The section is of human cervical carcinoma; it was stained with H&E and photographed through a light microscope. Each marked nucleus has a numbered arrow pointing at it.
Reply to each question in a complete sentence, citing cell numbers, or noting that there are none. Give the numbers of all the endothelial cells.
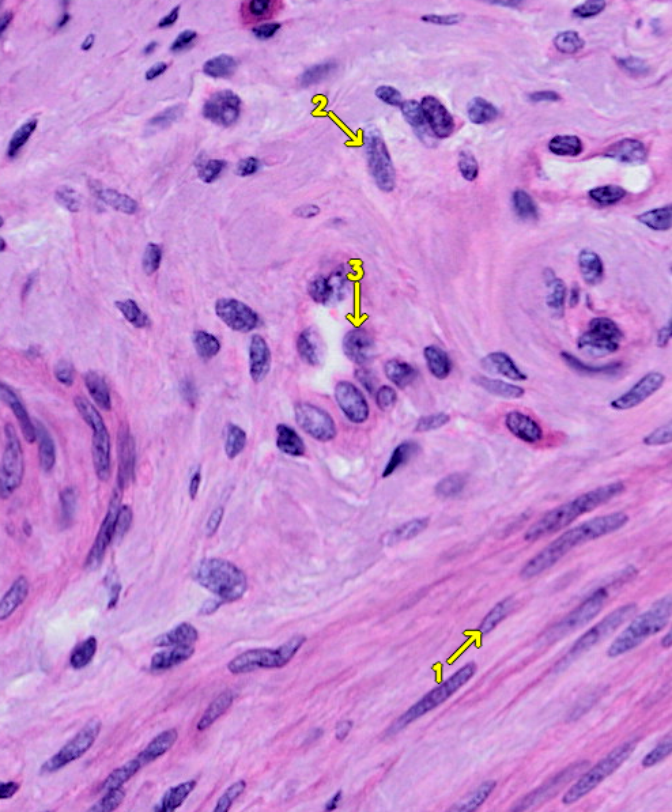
The cell bearing the number 3 is an endothelial cell, unlike the rest of the numbered cells.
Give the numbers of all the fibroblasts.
Exactly one numbered cell is a fibroblast, and that cell is number 2.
